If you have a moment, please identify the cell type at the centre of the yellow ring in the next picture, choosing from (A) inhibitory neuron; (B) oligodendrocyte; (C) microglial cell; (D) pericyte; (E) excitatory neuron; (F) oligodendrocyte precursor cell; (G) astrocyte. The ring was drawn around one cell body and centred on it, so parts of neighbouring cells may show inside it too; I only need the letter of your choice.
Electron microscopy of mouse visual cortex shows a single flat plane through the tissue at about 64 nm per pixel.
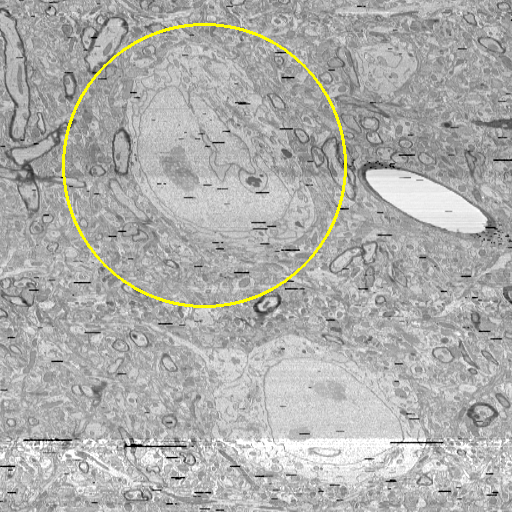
A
